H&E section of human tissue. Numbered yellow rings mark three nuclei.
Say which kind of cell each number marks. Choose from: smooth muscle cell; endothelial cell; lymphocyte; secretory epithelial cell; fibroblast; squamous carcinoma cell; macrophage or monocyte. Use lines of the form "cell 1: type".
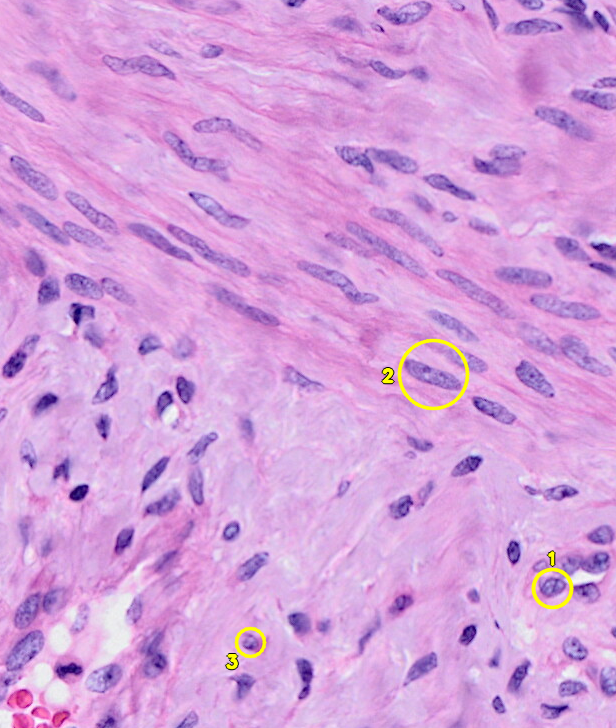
cell 1: endothelial cell
cell 2: smooth muscle cell
cell 3: smooth muscle cell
